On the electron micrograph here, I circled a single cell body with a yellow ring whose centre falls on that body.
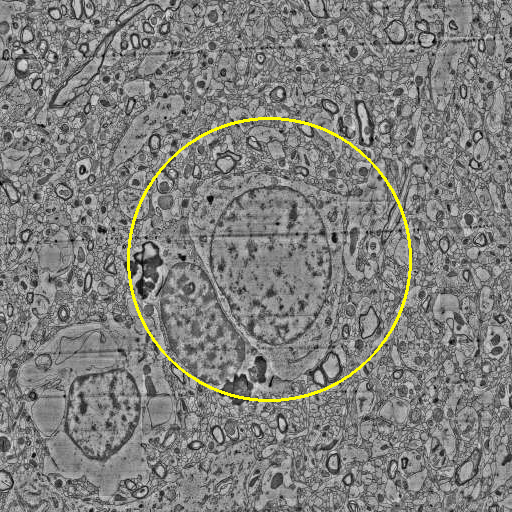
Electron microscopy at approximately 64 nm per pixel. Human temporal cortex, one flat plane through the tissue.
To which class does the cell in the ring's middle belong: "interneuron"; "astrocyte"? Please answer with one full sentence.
In this picture, the cell body circled at the ring's centre belongs to an interneuron.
